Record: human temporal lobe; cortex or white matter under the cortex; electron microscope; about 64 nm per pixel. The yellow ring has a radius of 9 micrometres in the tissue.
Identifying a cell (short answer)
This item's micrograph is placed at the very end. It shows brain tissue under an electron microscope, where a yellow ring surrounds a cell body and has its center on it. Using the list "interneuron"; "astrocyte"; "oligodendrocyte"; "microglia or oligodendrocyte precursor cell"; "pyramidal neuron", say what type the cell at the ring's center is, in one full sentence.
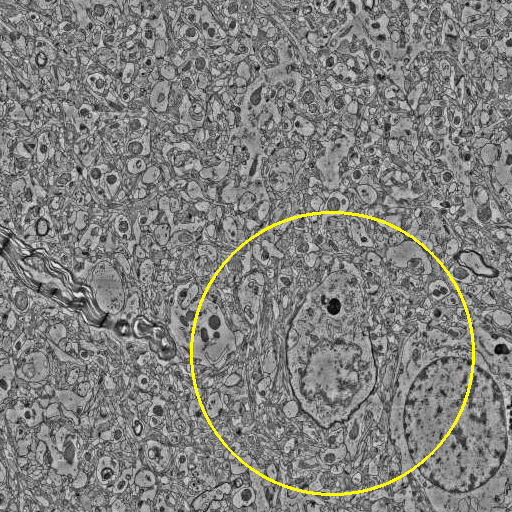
This picture shows an interneuron at the center of the yellow ring drawn on it.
